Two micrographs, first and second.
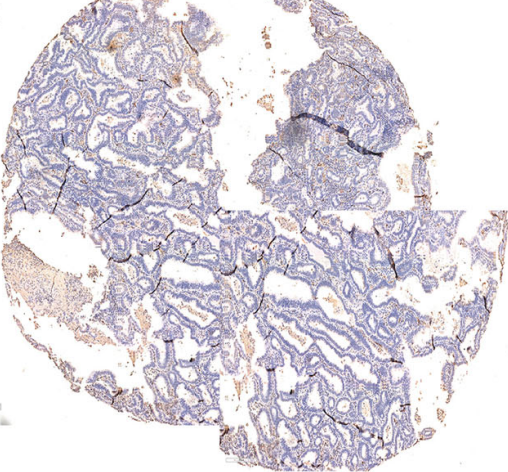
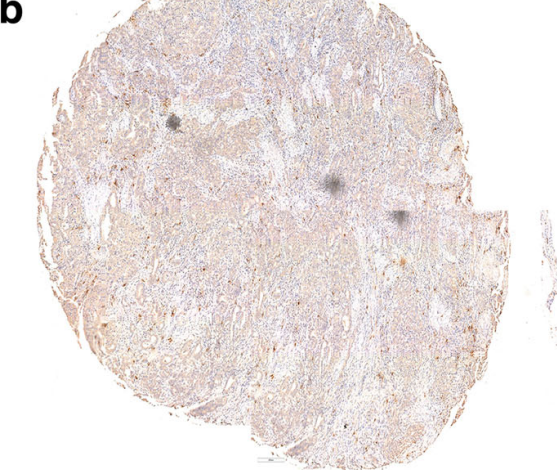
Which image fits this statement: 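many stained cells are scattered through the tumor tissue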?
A: the second image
